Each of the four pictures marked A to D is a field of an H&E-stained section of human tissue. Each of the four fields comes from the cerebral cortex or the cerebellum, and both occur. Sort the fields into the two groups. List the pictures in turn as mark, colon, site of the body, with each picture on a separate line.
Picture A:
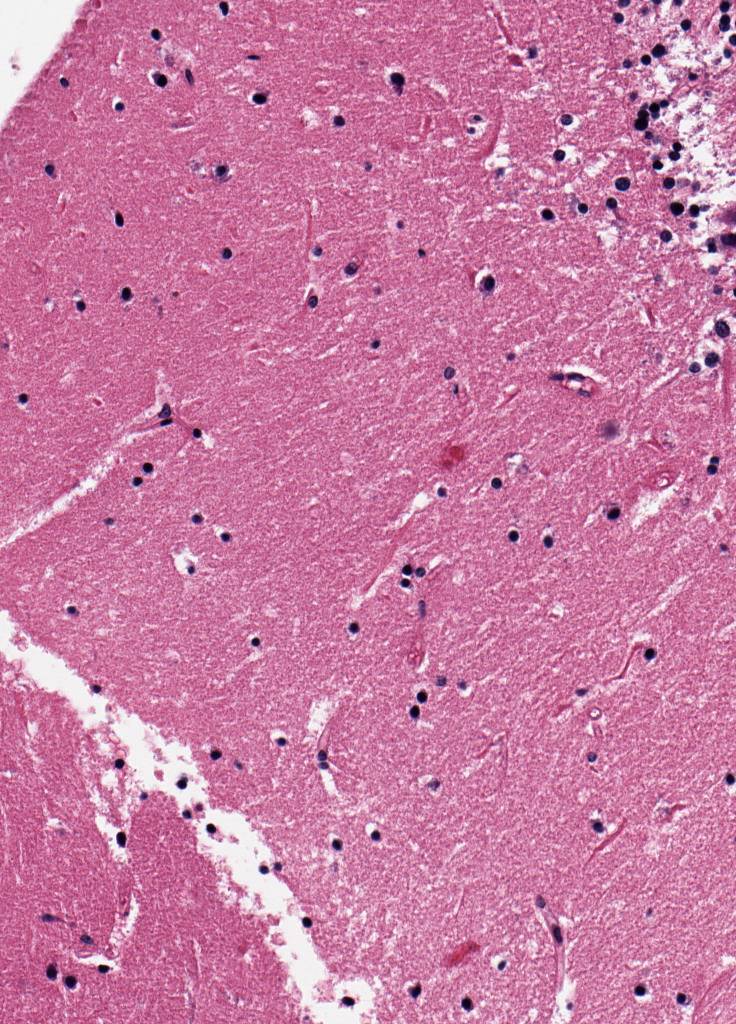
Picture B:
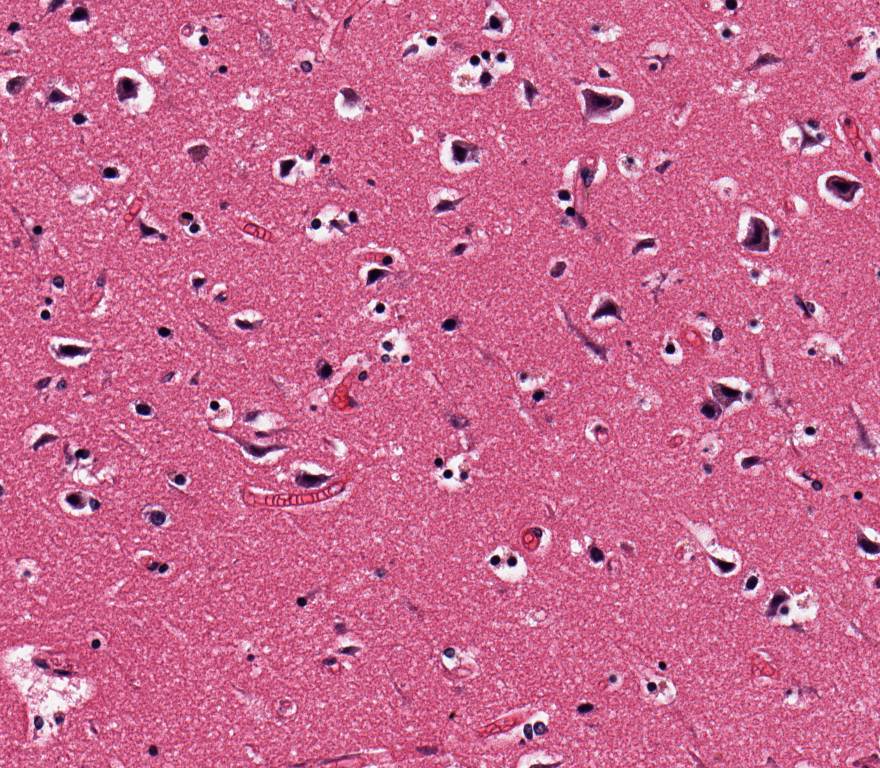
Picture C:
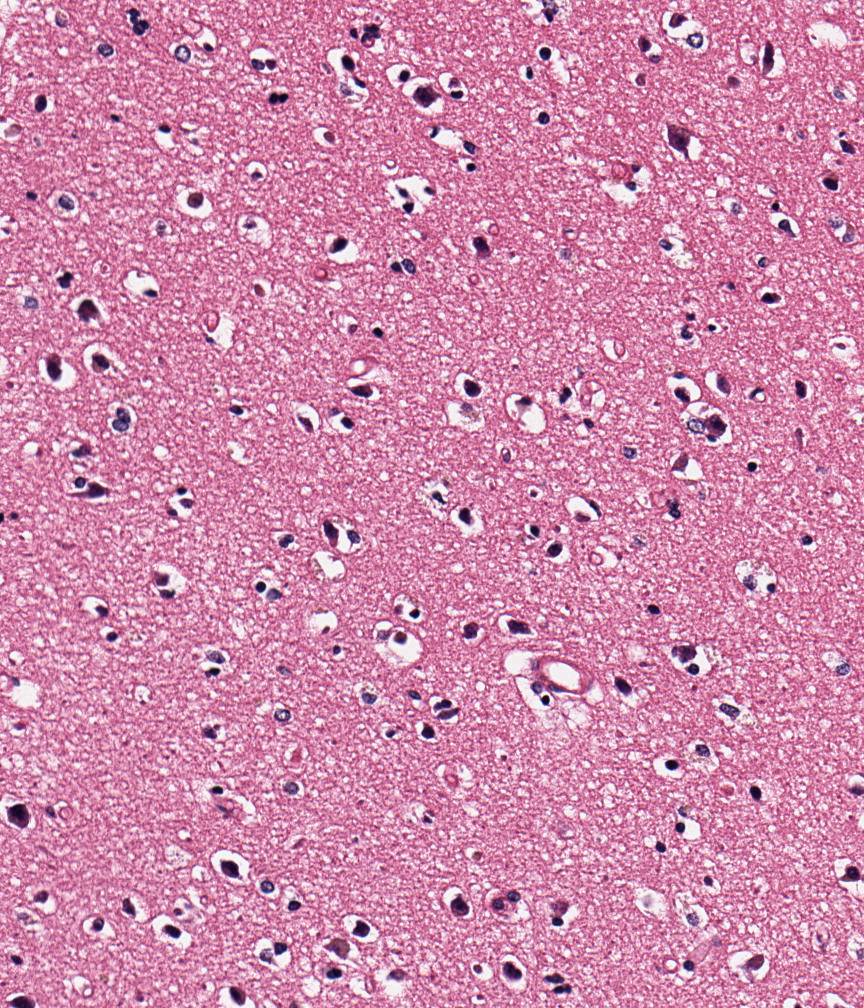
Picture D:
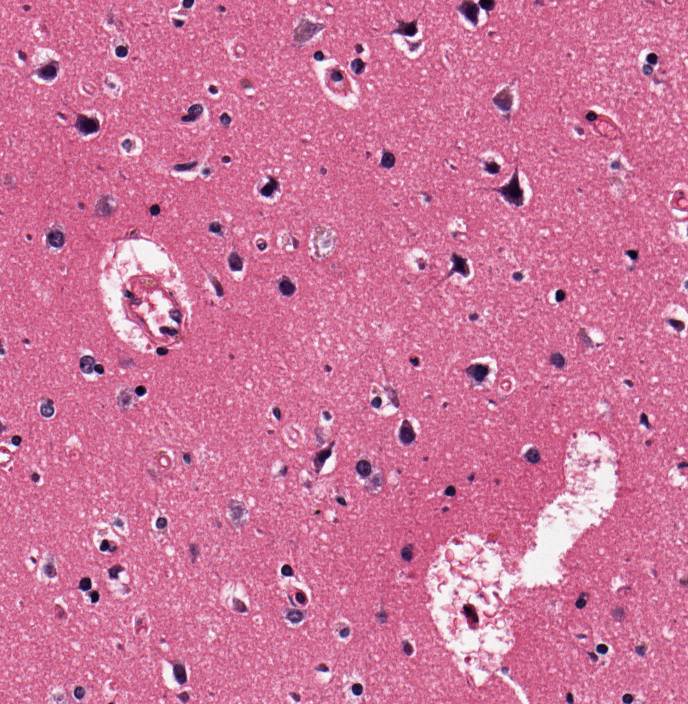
A: cerebellum
B: cerebral cortex
C: cerebral cortex
D: cerebral cortex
